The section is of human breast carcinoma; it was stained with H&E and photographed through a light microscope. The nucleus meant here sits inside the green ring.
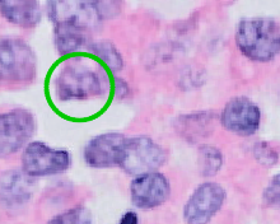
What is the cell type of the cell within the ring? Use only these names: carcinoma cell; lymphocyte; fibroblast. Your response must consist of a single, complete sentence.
The identity of the cell within the ring: it is a carcinoma cell.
